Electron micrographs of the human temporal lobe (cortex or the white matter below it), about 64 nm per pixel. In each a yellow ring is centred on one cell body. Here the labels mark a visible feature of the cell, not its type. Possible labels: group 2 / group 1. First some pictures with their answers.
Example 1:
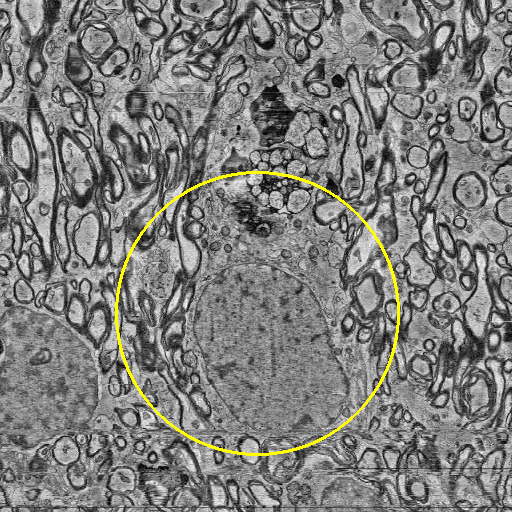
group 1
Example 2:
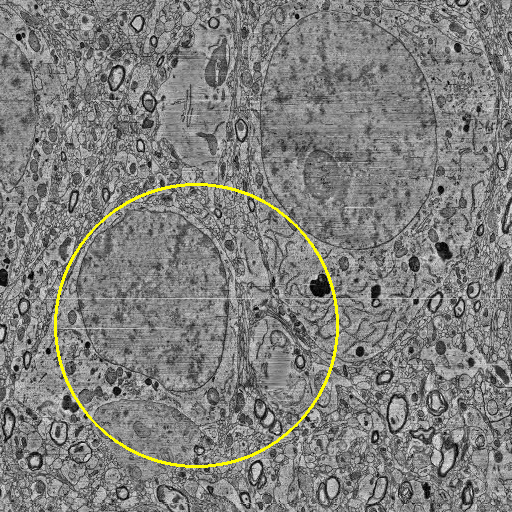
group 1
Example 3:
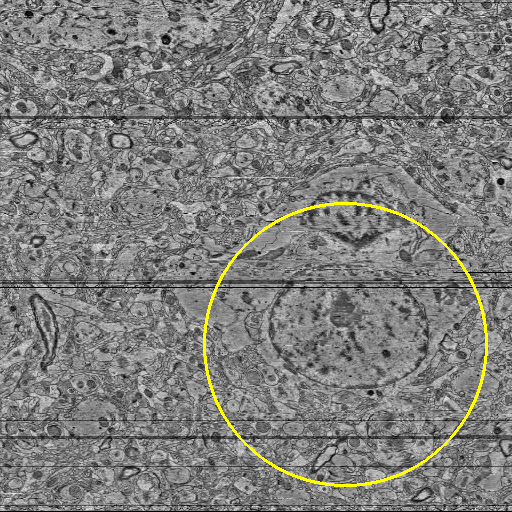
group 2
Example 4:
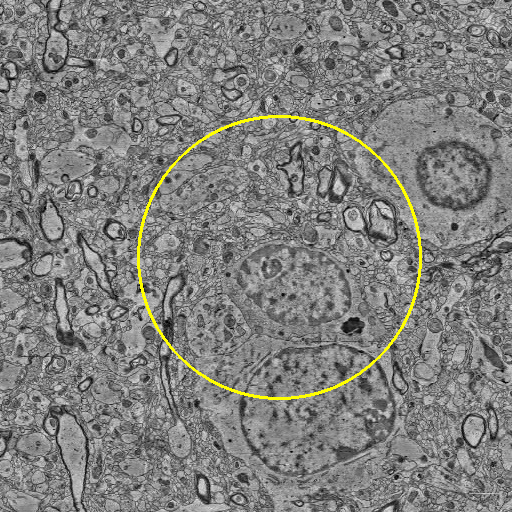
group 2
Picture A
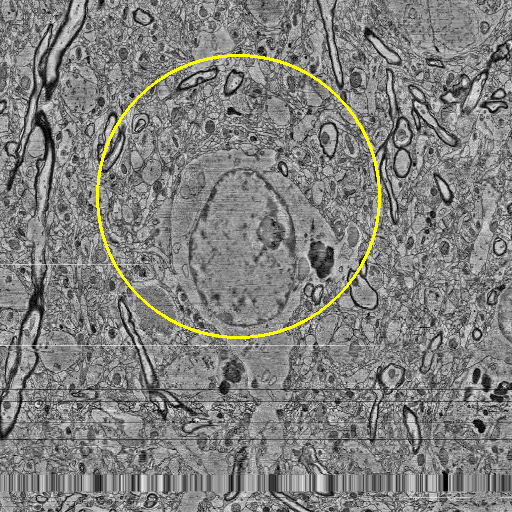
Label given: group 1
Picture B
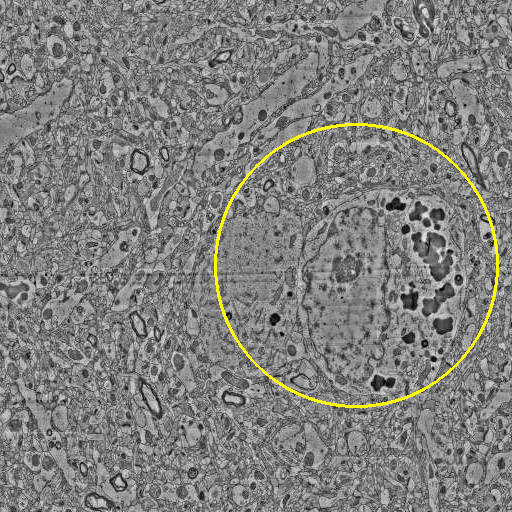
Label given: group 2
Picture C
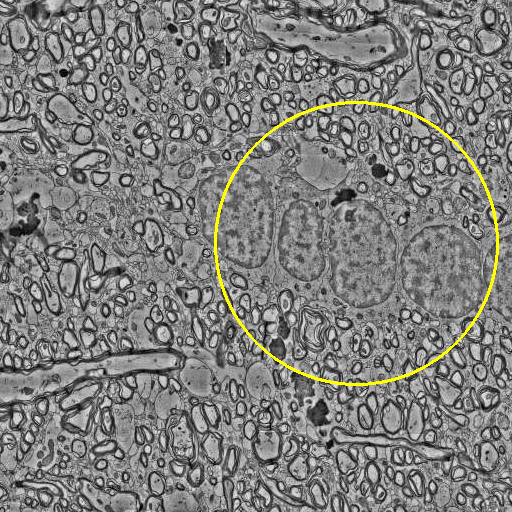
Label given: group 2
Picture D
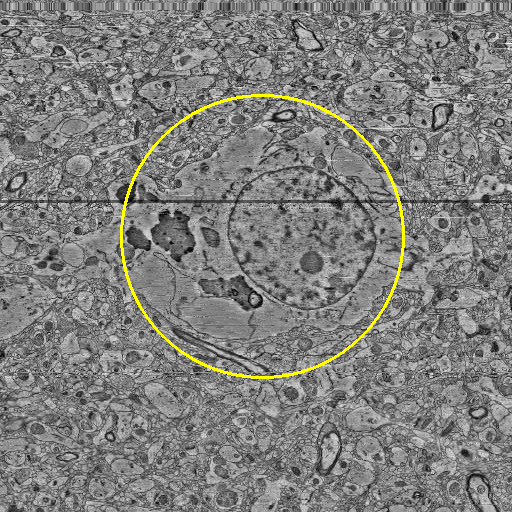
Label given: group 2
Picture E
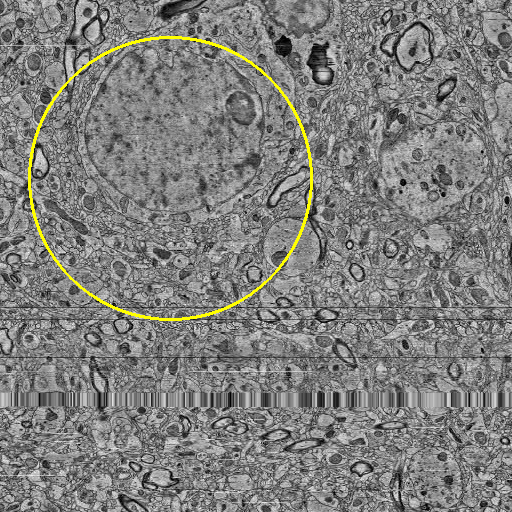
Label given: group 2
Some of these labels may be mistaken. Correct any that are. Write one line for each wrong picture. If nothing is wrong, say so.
A: not group 1 but group 2
C: not group 2 but group 1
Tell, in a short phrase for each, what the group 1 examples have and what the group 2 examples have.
group 1: no nucleolus seen; group 2: nucleolus seen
